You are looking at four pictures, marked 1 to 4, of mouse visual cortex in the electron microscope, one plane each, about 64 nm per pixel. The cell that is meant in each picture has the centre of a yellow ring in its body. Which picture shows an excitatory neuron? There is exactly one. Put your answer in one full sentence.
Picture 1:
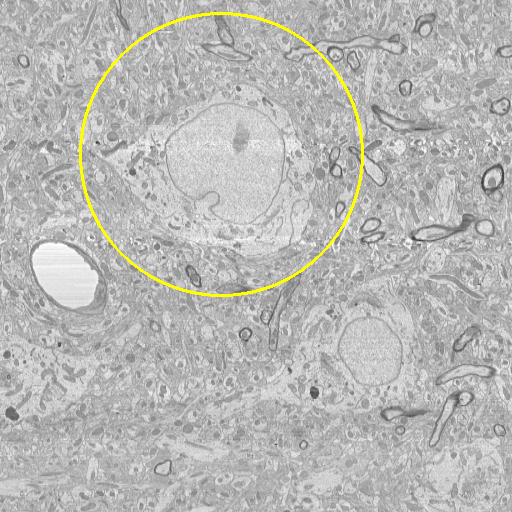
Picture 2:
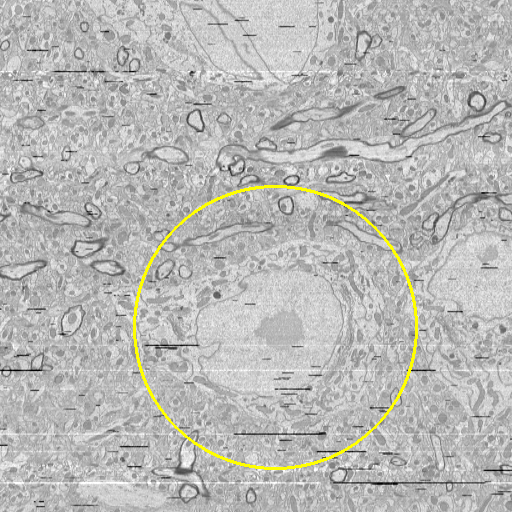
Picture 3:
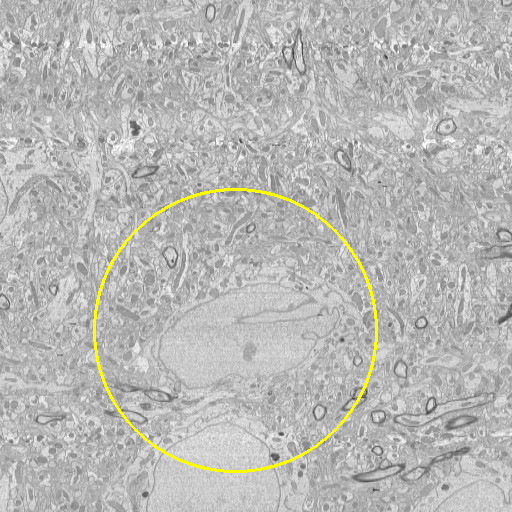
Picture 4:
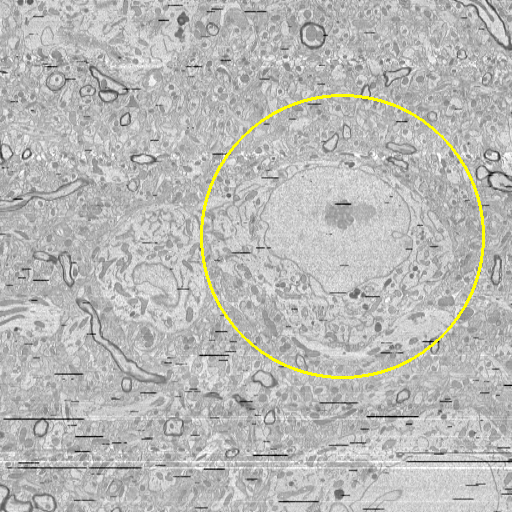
Picture 1 is the one that shows the excitatory neuron.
